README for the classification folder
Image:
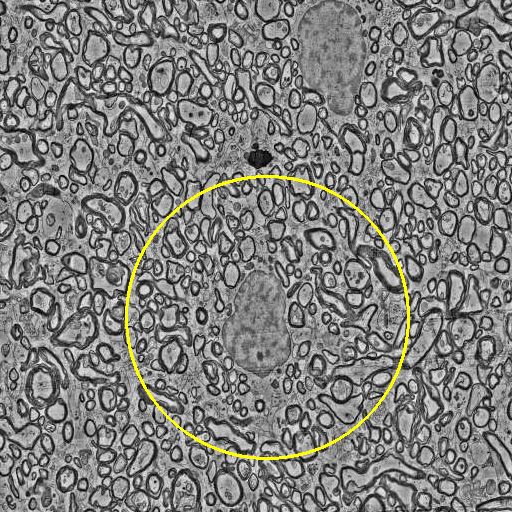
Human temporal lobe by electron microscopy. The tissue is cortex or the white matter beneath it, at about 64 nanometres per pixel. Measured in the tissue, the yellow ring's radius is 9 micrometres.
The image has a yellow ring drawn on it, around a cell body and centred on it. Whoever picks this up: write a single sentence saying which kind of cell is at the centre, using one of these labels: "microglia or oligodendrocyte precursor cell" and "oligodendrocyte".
This cell body is that of an oligodendrocyte.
